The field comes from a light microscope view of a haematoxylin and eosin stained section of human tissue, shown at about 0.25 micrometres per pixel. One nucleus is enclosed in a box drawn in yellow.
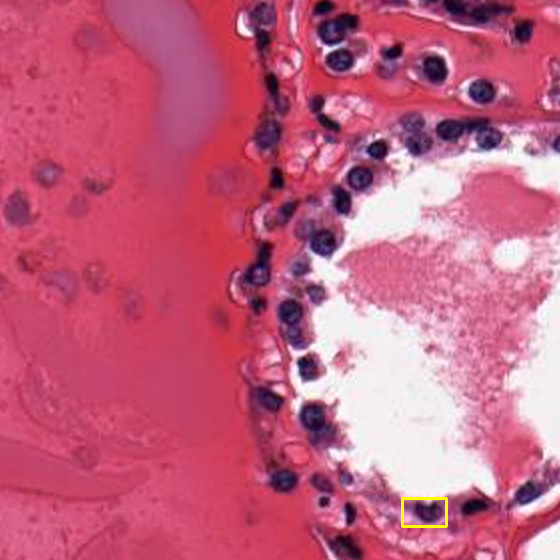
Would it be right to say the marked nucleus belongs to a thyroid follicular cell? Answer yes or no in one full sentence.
Yes, the marked nucleus is present within a thyroid follicular cell.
